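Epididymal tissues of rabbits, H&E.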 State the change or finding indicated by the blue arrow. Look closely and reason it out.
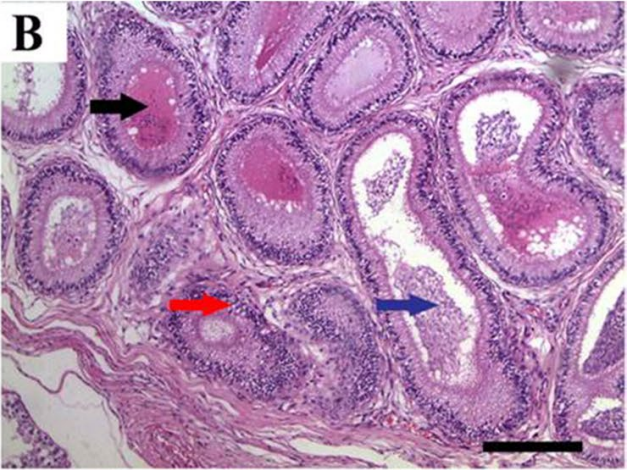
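The lumen of an elongated tubule contains loose, fragmented, pale-staining clumped material. The material lies free in the center of the tubule, detached from the epithelium.
Cellular debris.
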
